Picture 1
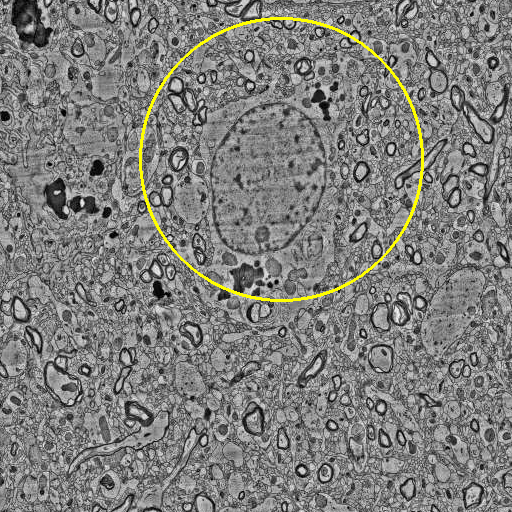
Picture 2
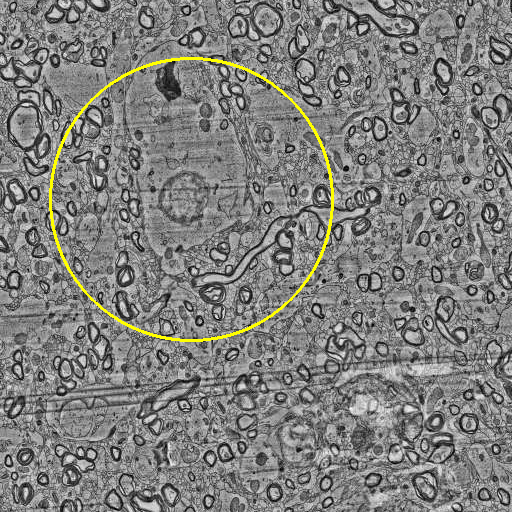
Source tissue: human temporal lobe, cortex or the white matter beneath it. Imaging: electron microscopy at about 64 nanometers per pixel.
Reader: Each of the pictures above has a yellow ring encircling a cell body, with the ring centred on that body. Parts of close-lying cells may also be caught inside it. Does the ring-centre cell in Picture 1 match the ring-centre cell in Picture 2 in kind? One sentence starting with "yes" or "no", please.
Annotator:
Yes, Picture 1 and Picture 2 show ring-centre cells of a single kind.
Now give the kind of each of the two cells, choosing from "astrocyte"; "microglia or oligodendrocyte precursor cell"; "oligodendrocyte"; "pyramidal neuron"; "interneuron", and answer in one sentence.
In each picture the ringed cell is an astrocyte.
